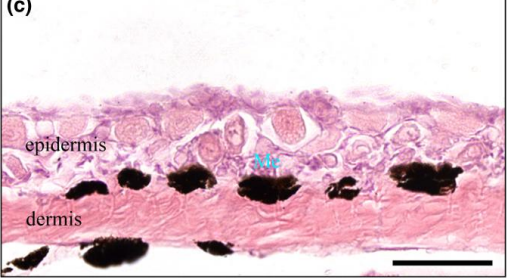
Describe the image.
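The epidermis holds many cells, some large and rounded with pale contents, and purple nuclei scattered among them. At the junction between epidermis and dermis lies a row of irregular, jet-black pigment cells, and more black pigment cells sit deeper at the lower edge of the dermis.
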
